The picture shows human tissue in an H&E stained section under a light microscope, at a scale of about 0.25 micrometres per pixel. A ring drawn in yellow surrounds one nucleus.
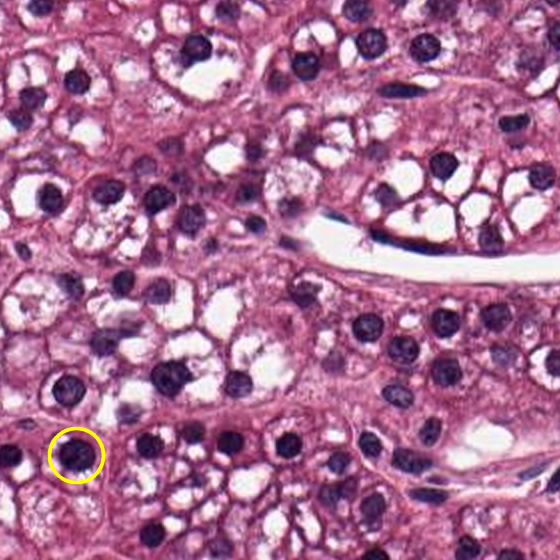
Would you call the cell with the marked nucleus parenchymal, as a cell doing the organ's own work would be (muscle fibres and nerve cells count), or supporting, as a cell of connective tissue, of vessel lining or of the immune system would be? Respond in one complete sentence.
The marked nucleus is assigned to a parenchymal cell, namely an adrenal cortical cell.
